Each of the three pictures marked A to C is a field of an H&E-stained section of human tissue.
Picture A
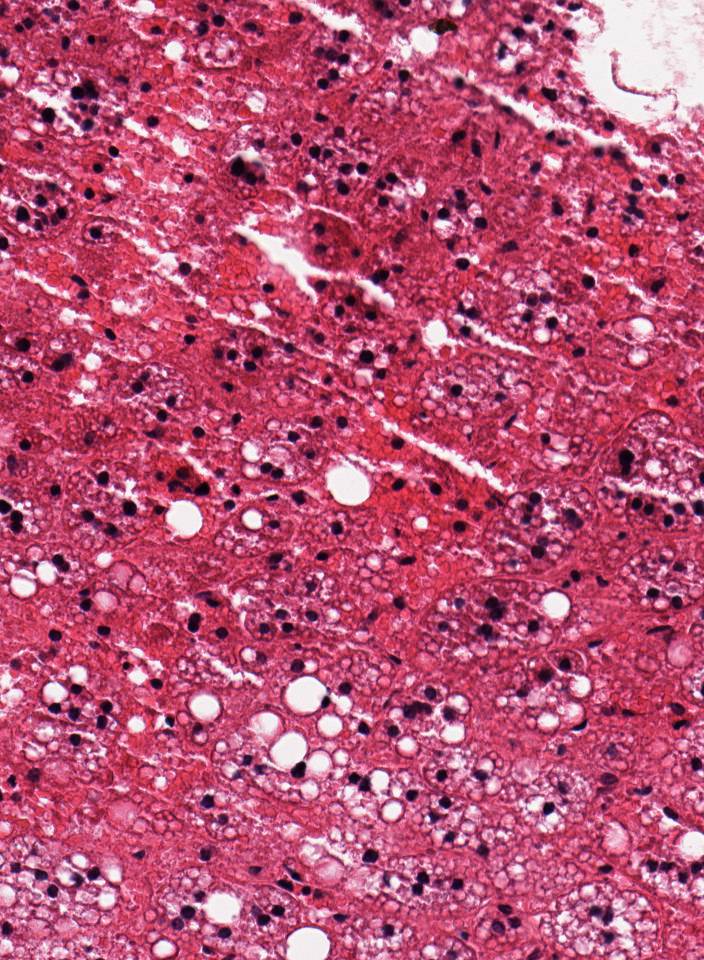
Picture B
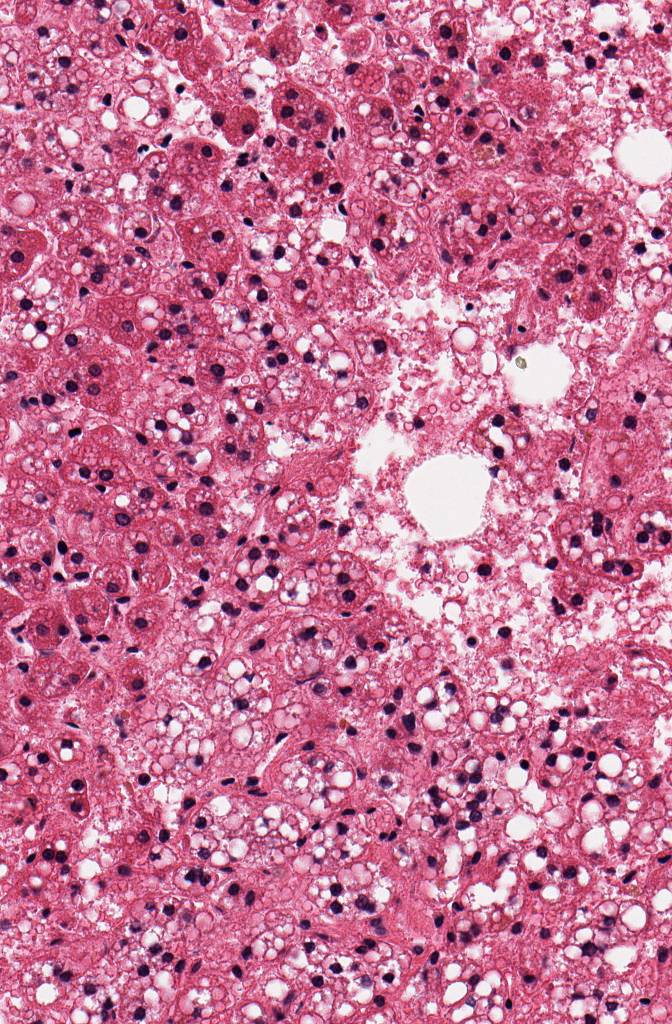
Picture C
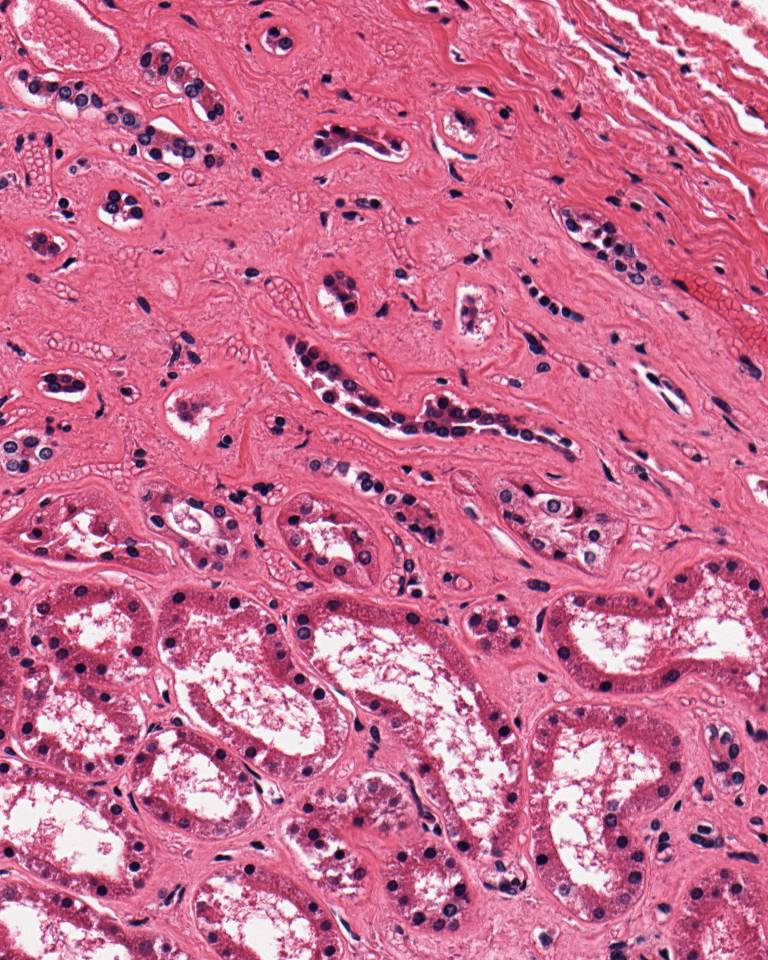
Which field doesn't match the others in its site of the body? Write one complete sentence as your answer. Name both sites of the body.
All pictures except C come from the adrenal gland; picture C comes from the renal cortex.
